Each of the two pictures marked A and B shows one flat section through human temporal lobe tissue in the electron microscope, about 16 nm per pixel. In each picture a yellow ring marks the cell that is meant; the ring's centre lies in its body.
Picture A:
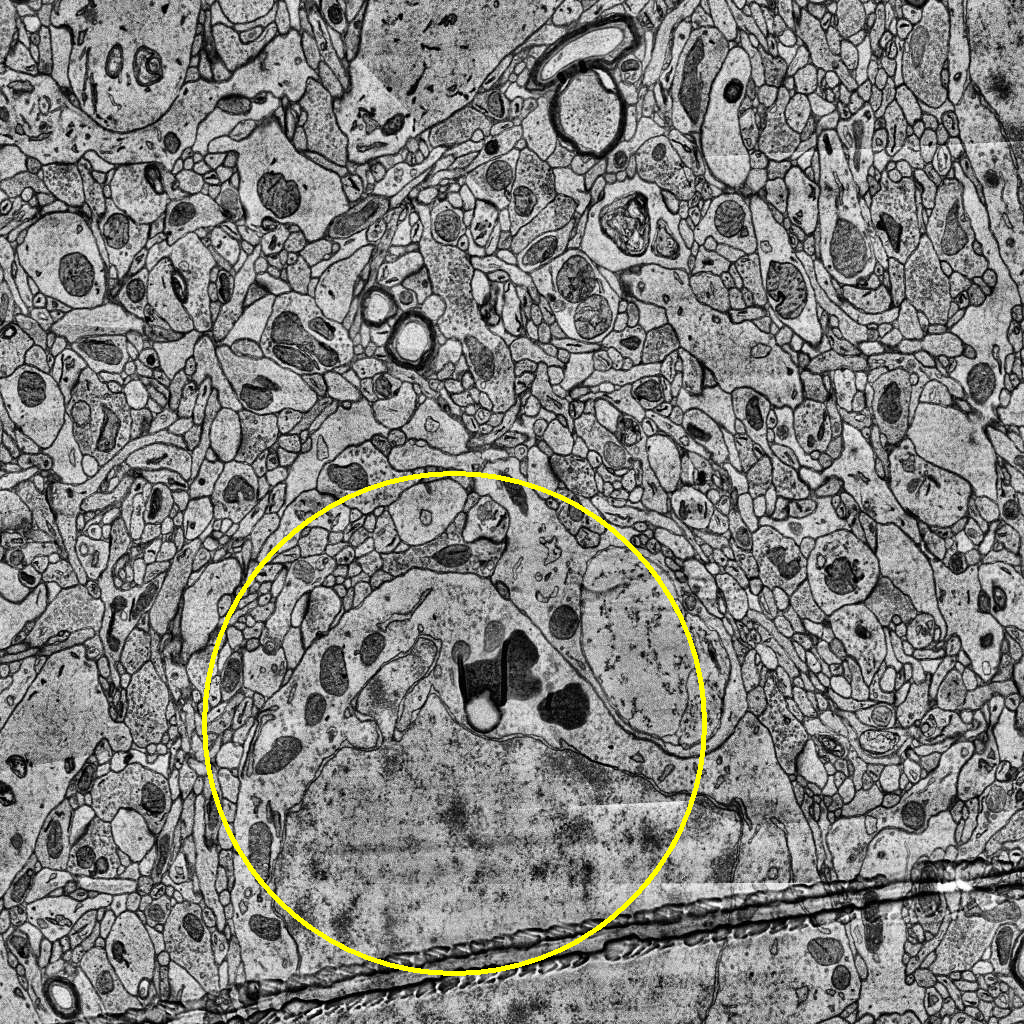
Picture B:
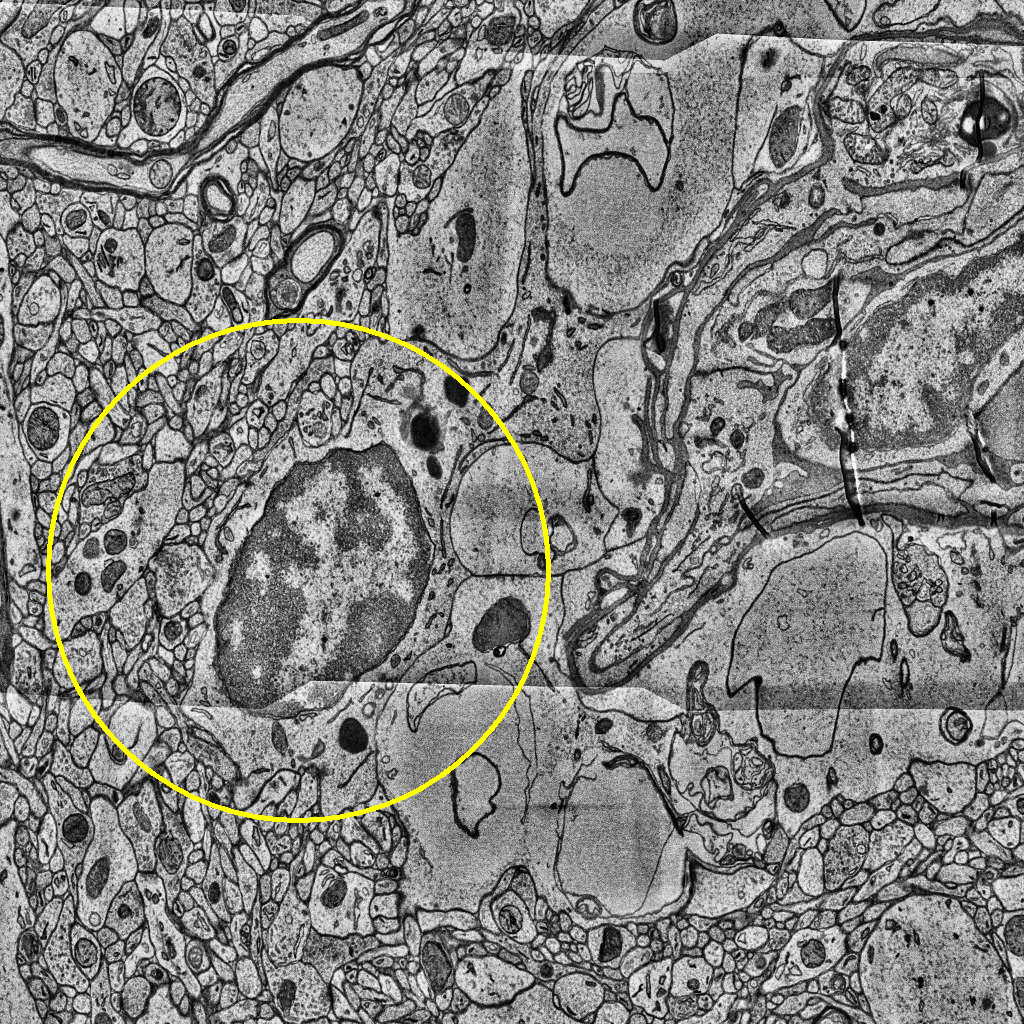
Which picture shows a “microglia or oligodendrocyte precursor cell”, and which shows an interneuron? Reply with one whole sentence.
Picture A is of an interneuron, and picture B is of a “microglia or oligodendrocyte precursor cell”.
